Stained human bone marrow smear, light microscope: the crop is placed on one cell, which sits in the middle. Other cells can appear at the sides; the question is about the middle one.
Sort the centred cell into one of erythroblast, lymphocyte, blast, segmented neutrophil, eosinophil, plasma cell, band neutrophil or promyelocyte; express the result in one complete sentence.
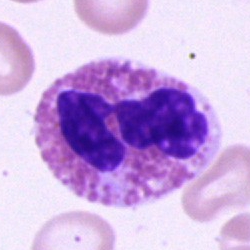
The middle of this crop is occupied by an eosinophil.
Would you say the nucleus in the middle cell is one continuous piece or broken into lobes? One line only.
Counting the nuclear lobes gives a total of at least two.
